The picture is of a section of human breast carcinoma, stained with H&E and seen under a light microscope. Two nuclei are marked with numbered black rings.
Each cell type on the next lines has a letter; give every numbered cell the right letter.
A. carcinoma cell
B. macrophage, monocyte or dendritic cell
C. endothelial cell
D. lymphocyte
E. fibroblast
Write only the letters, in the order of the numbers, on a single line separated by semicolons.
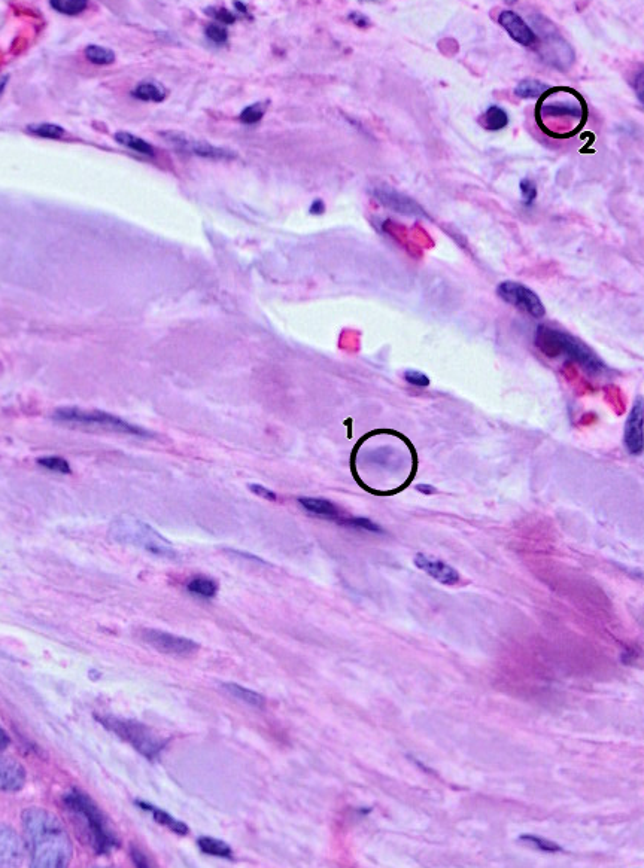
E; C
